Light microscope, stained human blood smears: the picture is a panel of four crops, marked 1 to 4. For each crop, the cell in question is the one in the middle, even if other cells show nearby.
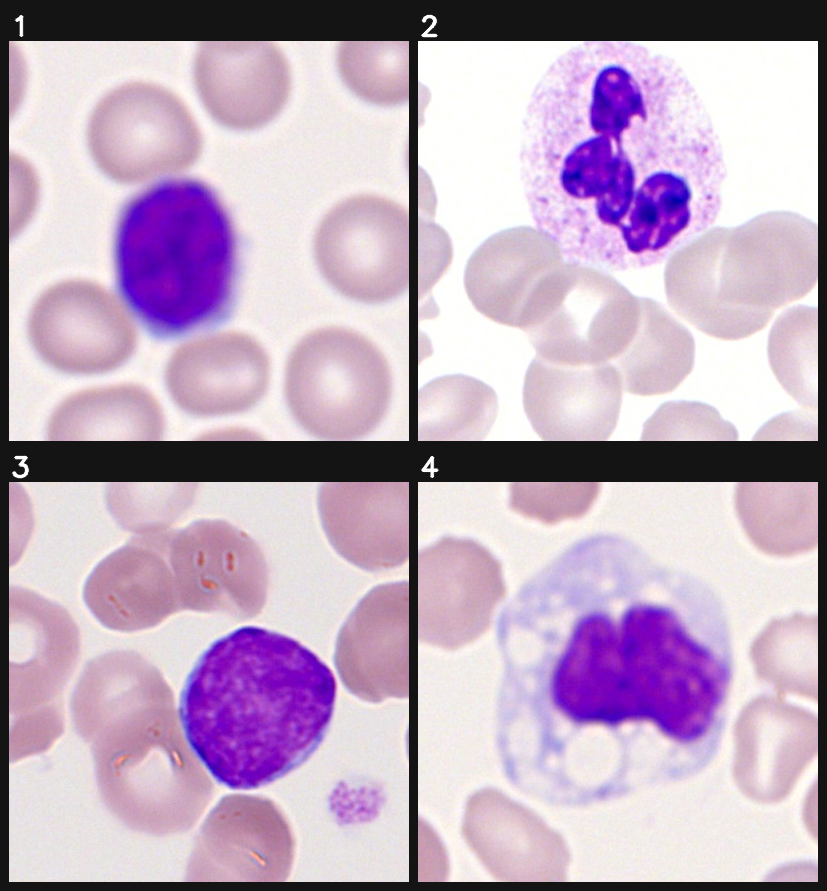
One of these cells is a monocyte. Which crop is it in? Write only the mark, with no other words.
4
